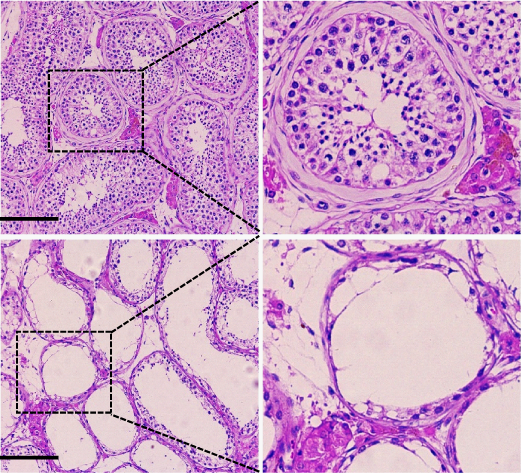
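In the top row the tubules are full: many layers of germ cells with round purple nuclei crowd from the wall toward a small central lumen, and the spaces between tubules hold a little interstitial tissue. In the bottom row the picture is very different: most tubules are pale and hollow, their lumens almost empty, and only a thin rim of pink wall with a few flattened nuclei remains, so the tubules look like empty rings.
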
